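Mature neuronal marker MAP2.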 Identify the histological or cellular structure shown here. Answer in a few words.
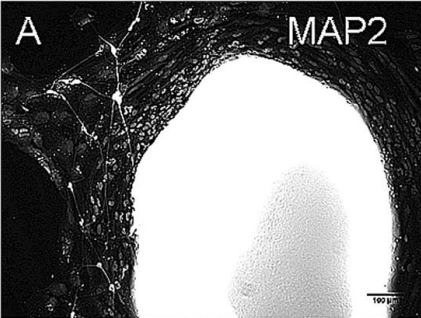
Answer: Neural aggregates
